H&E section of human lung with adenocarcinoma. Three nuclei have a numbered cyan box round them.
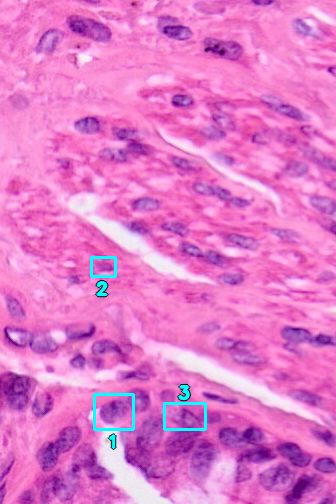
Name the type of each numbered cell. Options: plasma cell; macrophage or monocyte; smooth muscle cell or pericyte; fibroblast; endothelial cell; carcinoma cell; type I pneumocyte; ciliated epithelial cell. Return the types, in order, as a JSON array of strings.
["ciliated epithelial cell", "smooth muscle cell or pericyte", "ciliated epithelial cell"]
